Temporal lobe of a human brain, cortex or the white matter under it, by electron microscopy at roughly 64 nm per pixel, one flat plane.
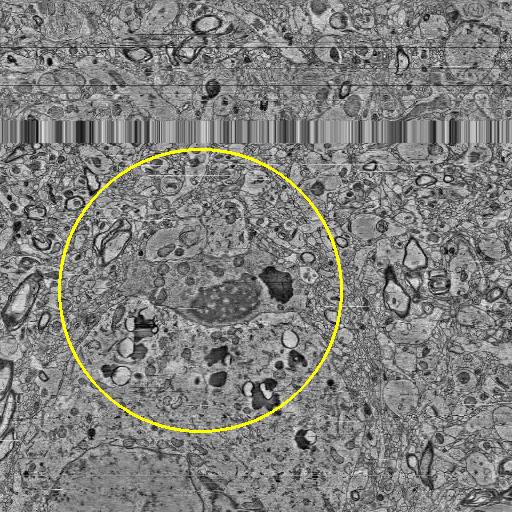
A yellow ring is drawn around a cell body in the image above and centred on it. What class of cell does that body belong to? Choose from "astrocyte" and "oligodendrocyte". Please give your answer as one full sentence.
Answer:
The yellow ring above is centred on the cell body of an oligodendrocyte.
